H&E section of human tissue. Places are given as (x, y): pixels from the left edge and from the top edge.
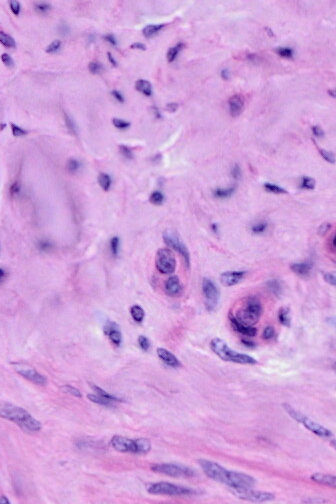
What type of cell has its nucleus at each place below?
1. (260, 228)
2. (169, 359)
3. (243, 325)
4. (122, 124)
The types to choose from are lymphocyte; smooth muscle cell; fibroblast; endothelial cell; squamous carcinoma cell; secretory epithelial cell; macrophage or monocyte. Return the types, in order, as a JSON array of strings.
["fibroblast", "fibroblast", "endothelial cell", "fibroblast"]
